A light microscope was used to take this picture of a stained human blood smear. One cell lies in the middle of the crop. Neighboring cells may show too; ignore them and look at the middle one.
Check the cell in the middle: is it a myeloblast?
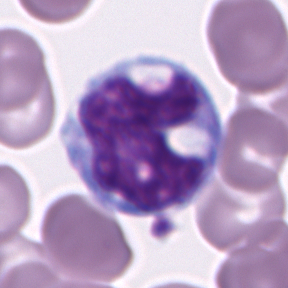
no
